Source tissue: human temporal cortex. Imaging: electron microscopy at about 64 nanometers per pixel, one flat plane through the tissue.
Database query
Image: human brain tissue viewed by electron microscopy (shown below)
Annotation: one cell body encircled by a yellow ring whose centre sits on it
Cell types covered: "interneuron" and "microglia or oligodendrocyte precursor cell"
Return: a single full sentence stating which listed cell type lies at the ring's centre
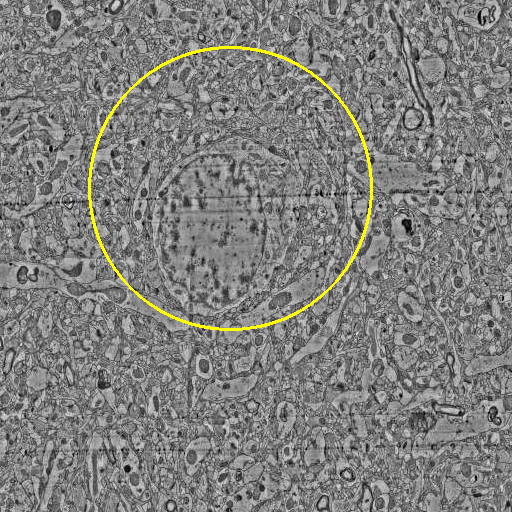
In the image, the cell lying at the ring's centre is an interneuron.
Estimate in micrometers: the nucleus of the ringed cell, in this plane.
In this plane the nucleus spans approximately 10 by 7 micrometers.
